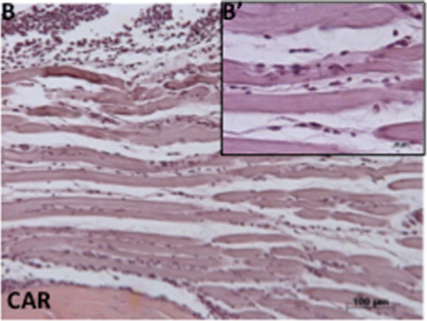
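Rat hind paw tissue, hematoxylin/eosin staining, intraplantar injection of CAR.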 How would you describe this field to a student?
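Long pink-staining fibres run roughly horizontally across the field, but they are split apart by wide, clear, unstained spaces rather than lying tightly together. Elongated dark purple nuclei sit along the edges of the fibres. At the top of the field a dense crowd of small, round, darkly stained nuclei fills the space above the fibres, and further such small cells are scattered in the gaps between fibres. The enlarged inset shows separated pink bands with small dark nuclei lying in the pale spaces between them.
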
